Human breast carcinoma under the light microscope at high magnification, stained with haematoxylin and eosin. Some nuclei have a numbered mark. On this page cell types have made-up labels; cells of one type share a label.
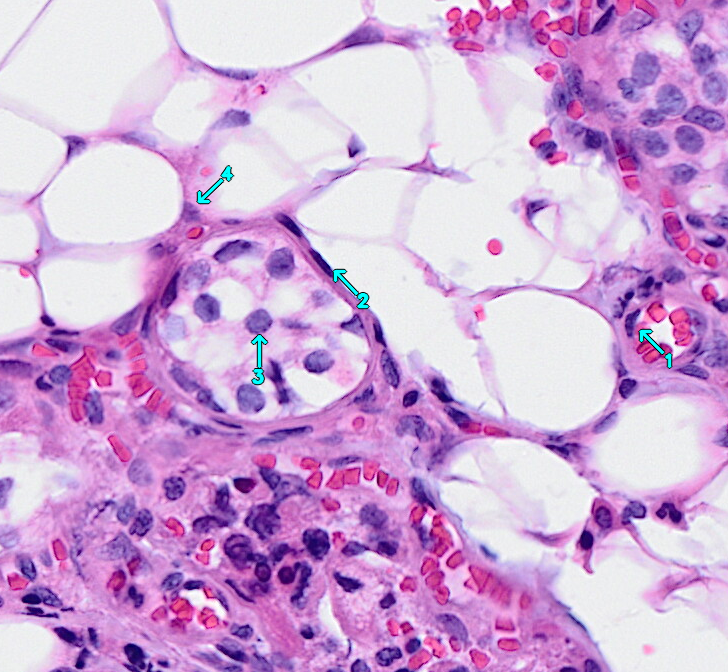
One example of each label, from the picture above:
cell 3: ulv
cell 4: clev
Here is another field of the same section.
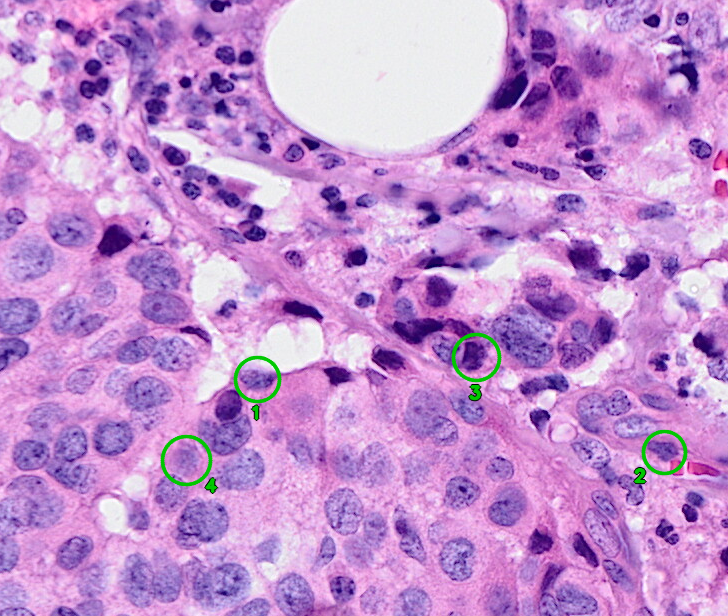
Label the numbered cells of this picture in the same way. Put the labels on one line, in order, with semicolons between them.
ulv; clev; ulv; ulv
